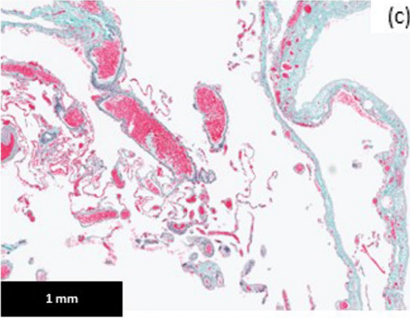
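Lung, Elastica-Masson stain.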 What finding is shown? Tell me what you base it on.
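Large empty airspaces fill most of the field. Septal fragments appear torn and floating within the spaces.
Emphysema.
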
